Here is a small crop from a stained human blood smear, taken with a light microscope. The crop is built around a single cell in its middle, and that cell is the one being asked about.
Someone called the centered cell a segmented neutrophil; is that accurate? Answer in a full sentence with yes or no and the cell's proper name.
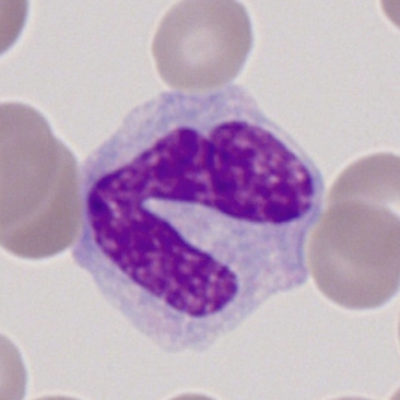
No, in the centre of the crop lies a monocyte, not a segmented neutrophil.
